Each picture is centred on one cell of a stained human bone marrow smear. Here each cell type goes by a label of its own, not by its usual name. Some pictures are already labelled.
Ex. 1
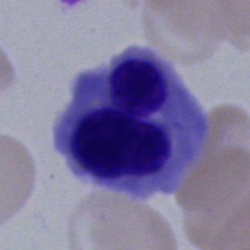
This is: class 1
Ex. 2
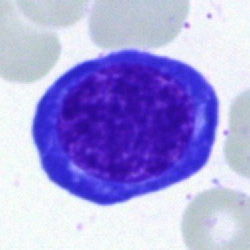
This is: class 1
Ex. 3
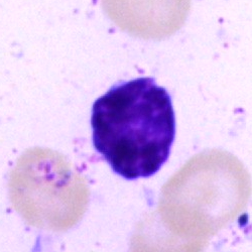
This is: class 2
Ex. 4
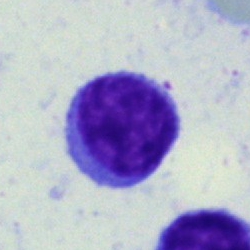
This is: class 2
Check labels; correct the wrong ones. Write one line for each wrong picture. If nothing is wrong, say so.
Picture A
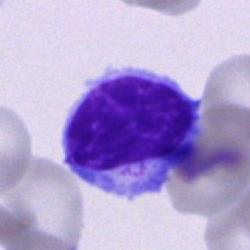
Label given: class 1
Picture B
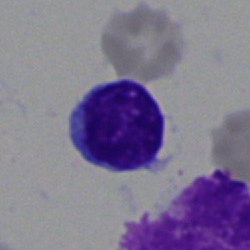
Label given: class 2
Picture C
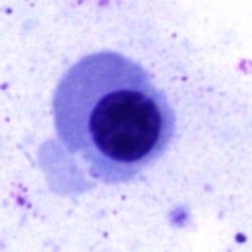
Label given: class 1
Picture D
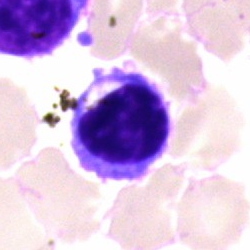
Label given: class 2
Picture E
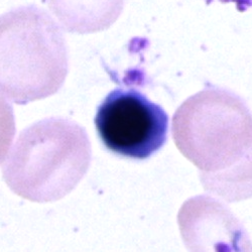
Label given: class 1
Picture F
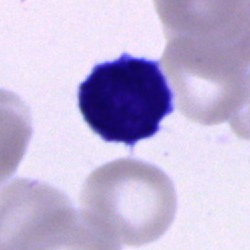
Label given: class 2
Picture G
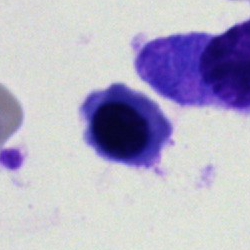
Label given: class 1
Wrong: A (class 1); correct: class 2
